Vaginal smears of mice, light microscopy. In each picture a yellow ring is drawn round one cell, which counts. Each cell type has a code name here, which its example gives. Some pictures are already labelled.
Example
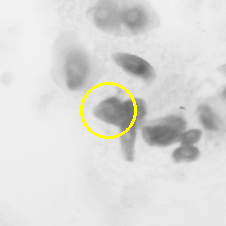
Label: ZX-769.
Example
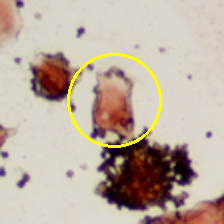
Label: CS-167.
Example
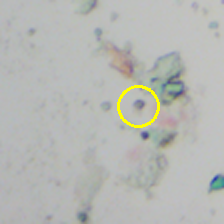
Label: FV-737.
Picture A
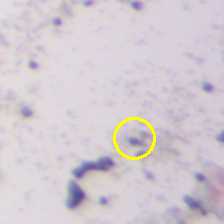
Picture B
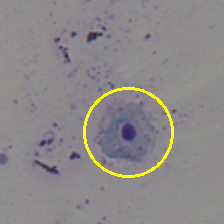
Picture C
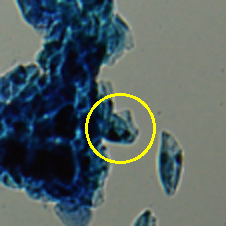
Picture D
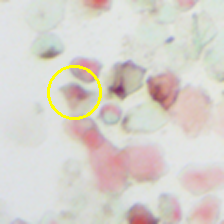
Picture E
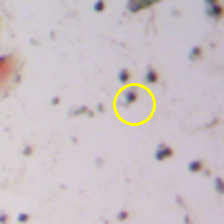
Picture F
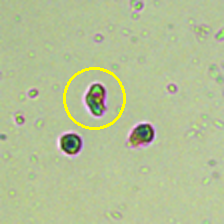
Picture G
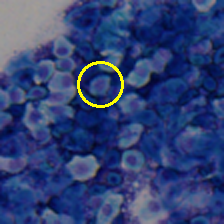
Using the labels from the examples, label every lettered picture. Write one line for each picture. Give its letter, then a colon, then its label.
A: FV-737.
B: ZX-769.
C: CS-167.
D: ZX-769.
E: FV-737.
F: FV-737.
G: ZX-769.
